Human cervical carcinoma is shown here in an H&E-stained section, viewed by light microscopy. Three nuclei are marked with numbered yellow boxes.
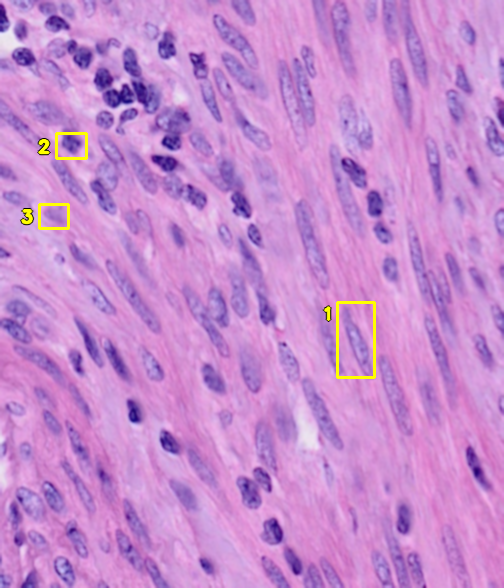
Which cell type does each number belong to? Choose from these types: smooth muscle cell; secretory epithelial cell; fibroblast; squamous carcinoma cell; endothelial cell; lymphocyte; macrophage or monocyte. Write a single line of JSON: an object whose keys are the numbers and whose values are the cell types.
{"1": "smooth muscle cell", "2": "lymphocyte", "3": "smooth muscle cell"}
